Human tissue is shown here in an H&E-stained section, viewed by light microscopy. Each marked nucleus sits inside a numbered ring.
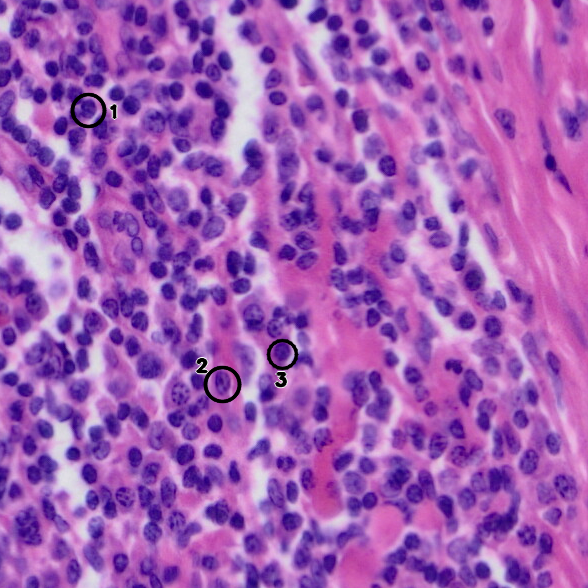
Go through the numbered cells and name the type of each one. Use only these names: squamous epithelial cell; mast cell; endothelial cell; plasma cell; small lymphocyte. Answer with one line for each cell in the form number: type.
1: small lymphocyte
2: plasma cell
3: plasma cell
